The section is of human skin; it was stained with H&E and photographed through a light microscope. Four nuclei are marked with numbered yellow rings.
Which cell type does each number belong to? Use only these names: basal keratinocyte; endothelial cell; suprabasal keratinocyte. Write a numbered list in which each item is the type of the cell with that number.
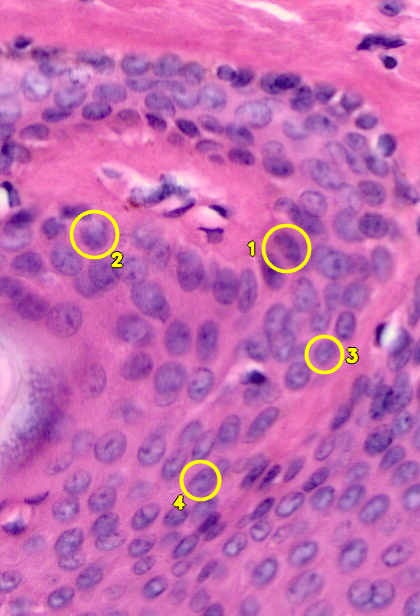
1. basal keratinocyte
2. basal keratinocyte
3. basal keratinocyte
4. suprabasal keratinocyte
